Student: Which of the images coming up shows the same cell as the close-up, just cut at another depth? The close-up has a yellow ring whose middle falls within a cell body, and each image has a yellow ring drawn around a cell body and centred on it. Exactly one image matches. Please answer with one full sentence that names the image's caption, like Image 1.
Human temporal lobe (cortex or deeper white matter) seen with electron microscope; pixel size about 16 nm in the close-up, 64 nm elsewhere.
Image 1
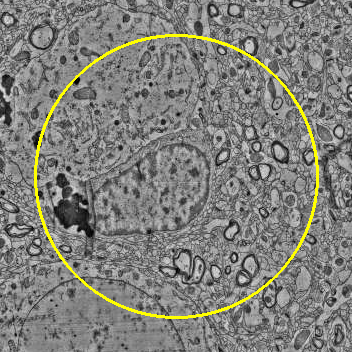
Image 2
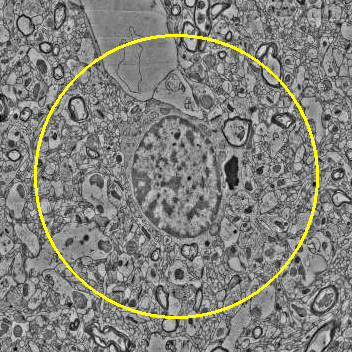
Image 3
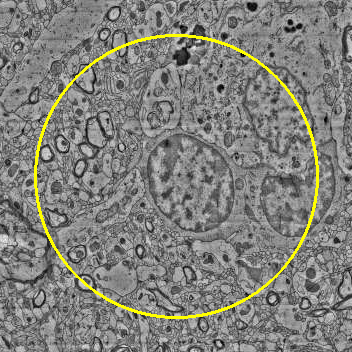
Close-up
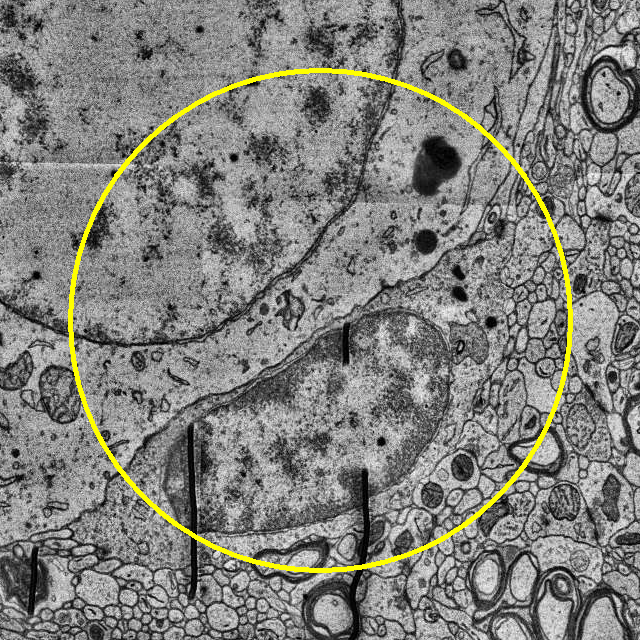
The close-up is of the cell inside the yellow ring in Image 1.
